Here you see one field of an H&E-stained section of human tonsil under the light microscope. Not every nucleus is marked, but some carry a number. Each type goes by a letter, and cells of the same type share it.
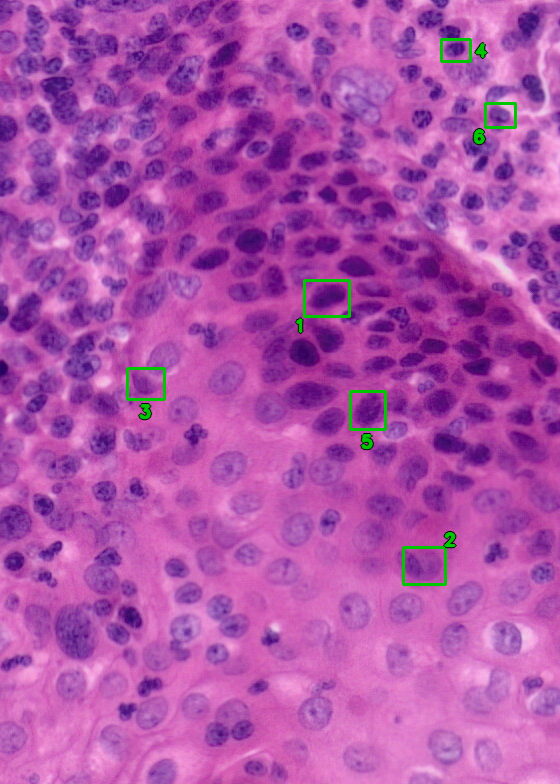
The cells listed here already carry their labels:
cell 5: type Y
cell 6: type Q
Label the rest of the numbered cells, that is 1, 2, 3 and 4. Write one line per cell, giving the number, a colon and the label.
1: type Y
2: type Y
3: type Y
4: type Q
